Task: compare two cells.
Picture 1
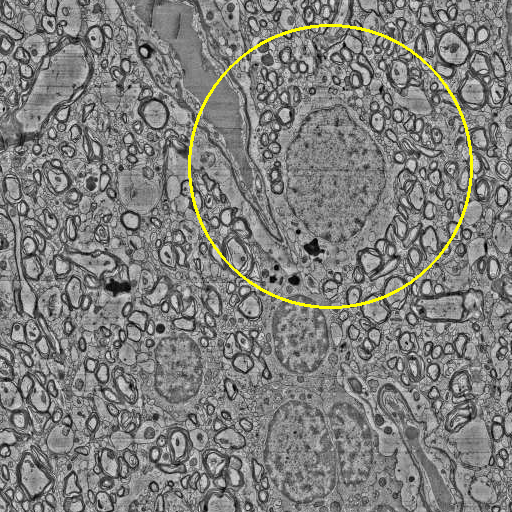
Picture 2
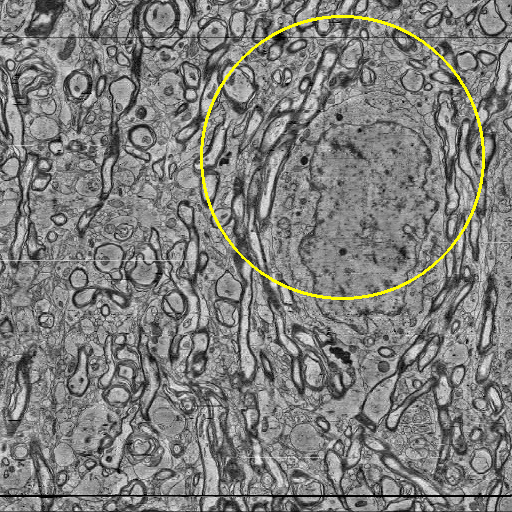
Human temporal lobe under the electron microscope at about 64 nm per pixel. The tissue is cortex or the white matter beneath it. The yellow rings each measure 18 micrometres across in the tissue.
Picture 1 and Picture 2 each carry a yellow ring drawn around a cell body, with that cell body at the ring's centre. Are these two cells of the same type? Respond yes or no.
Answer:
no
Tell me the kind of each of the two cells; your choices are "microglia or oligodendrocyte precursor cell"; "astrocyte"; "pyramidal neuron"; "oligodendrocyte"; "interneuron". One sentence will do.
The ringed cell is an astrocyte in the first picture and an interneuron in the second picture.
